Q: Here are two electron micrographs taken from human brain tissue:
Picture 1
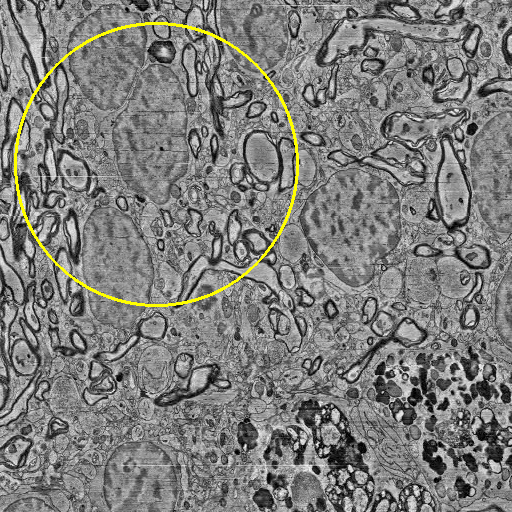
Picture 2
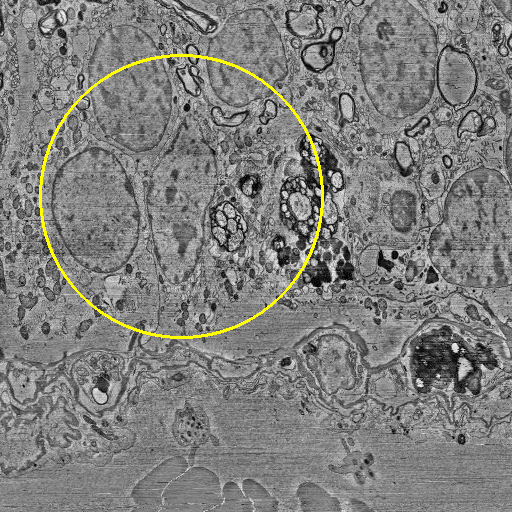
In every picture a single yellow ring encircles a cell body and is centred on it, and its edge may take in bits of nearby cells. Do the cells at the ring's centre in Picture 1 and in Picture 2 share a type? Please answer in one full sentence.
No, the cells at the ring's centre in Picture 1 and Picture 2 are of two types.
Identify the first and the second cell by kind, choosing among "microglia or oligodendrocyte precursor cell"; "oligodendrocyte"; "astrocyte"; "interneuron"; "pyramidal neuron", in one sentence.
The one in the first picture is an oligodendrocyte, while the one in the second is an astrocyte.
